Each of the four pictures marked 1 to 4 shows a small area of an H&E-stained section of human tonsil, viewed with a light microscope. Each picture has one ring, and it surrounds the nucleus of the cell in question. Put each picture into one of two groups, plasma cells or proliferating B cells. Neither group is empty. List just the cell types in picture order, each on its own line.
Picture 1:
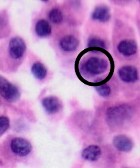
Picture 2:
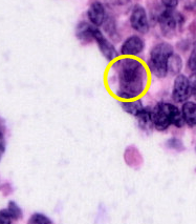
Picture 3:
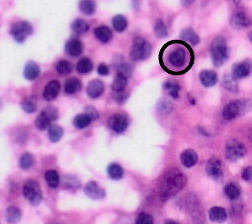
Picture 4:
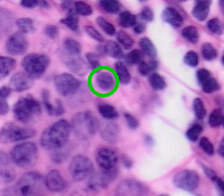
plasma cell
proliferating B cell
plasma cell
proliferating B cell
